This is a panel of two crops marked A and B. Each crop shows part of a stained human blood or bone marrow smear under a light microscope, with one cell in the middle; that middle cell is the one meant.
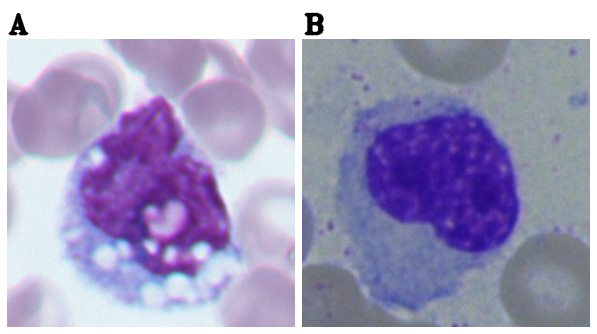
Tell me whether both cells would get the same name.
yes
